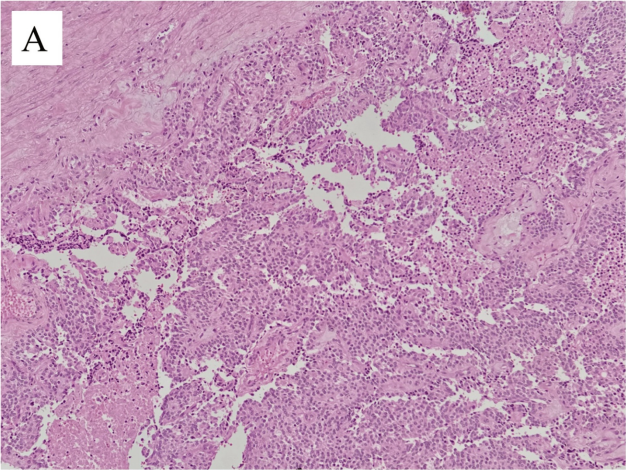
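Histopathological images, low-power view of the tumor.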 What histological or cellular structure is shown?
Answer: Solid and pseudopapillary growth.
